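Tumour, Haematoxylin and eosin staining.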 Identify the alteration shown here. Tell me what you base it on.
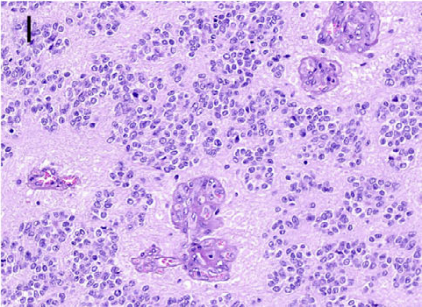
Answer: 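Tufted, glomerulus-like clusters of vessels with plump lining cells. These vessel clusters sit in broad pale pink areas without nuclei. On this evidence: Microvascular proliferation.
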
